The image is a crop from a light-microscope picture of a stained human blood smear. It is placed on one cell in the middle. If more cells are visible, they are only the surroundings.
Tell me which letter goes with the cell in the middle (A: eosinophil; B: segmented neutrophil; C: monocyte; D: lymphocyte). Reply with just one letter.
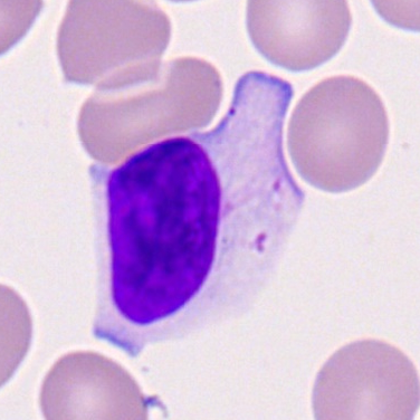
D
